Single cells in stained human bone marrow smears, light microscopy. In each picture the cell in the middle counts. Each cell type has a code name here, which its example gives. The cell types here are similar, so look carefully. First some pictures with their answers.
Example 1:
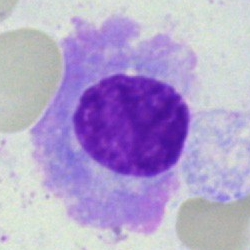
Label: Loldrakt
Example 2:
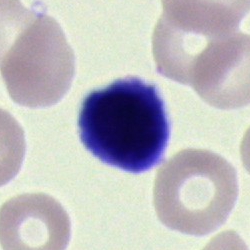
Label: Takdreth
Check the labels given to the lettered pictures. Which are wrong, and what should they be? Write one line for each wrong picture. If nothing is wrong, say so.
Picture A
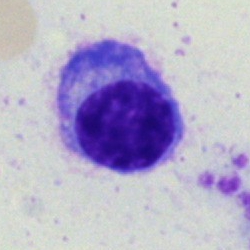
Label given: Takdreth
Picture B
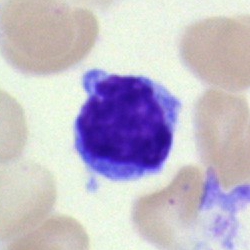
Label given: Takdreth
A is labelled Takdreth; correct label: Loldrakt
